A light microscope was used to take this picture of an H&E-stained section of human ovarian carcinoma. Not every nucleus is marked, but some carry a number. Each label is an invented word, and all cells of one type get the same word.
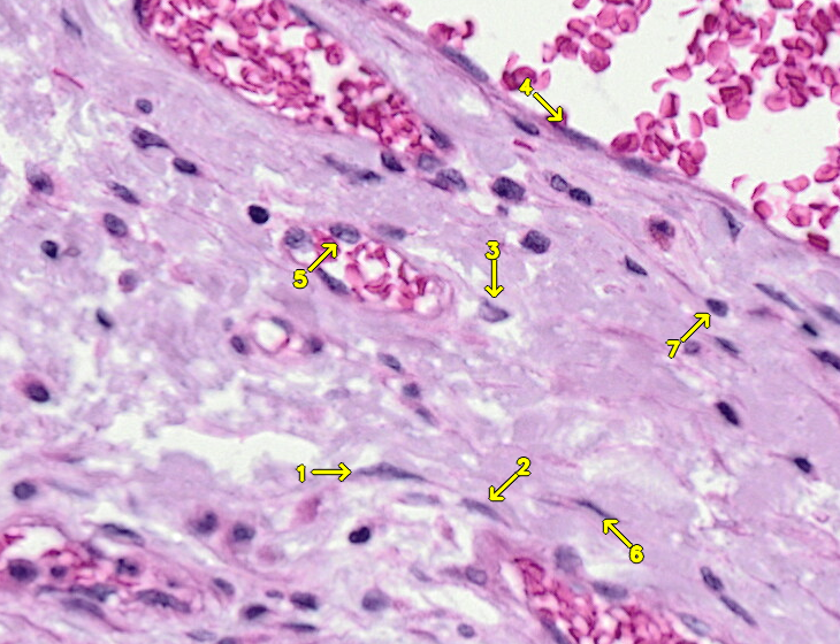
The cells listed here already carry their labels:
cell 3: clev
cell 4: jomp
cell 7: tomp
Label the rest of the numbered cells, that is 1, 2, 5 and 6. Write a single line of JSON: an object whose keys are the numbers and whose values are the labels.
{"1": "clev", "2": "clev", "5": "jomp", "6": "clev"}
